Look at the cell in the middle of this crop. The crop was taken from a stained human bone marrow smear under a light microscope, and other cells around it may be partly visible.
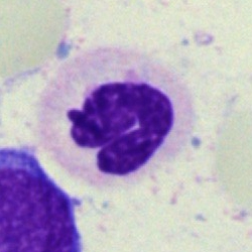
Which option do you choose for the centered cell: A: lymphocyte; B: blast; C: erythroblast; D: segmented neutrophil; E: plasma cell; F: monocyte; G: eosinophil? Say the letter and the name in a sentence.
The middle of the crop contains a segmented neutrophil, so option D is right.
